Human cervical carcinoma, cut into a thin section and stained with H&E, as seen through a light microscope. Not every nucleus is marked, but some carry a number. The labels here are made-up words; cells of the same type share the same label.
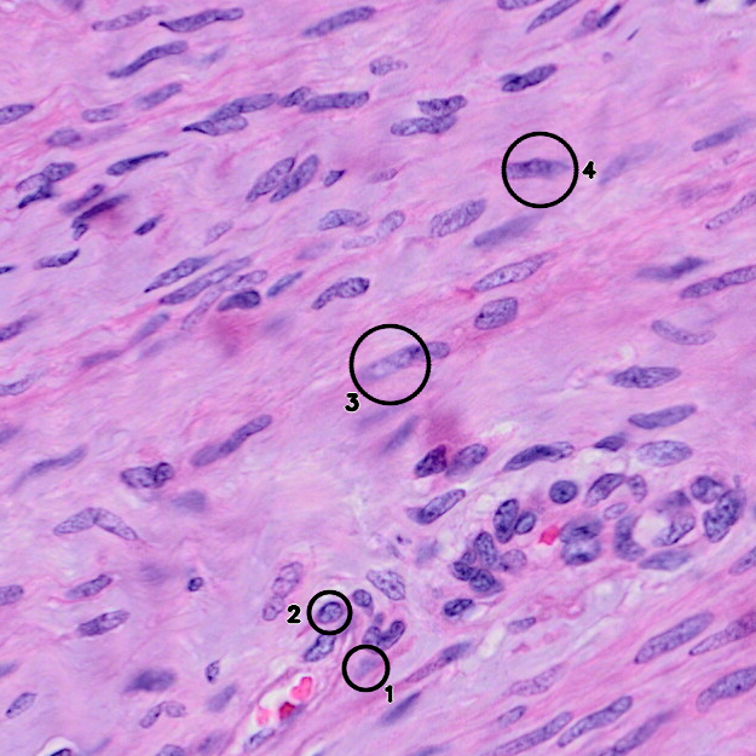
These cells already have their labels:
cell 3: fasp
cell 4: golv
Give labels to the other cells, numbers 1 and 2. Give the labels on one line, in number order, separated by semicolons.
fasp; fasp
